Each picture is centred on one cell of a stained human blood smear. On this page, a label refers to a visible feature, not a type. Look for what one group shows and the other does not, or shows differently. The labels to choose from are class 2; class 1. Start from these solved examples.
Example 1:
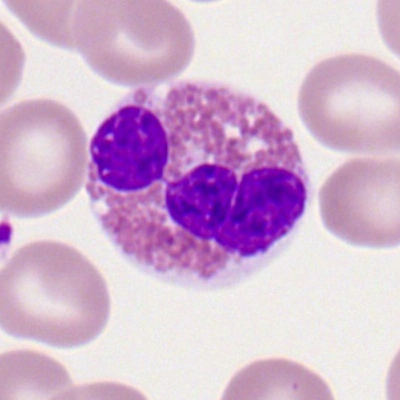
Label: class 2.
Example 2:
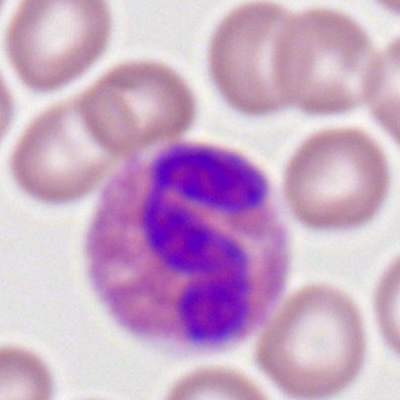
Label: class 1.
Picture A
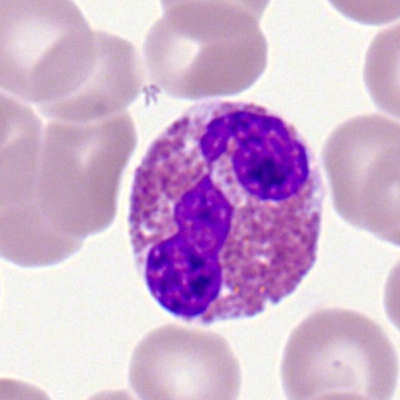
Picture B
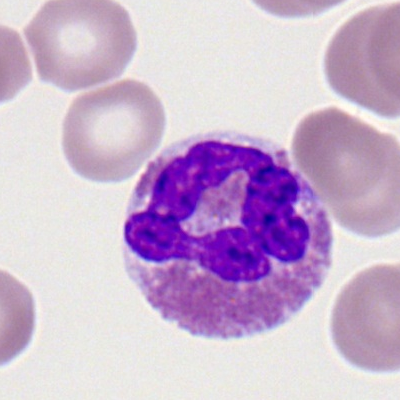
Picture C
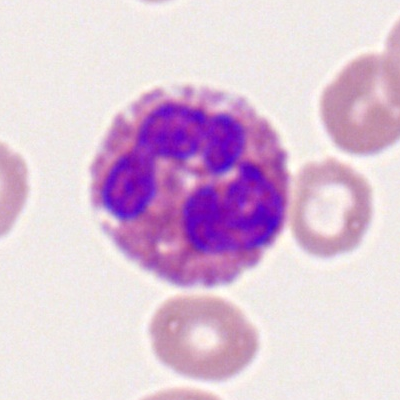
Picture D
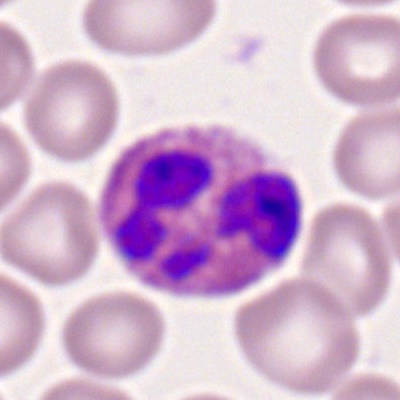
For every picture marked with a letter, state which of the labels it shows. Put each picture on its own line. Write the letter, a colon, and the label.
A: class 2.
B: class 1.
C: class 1.
D: class 1.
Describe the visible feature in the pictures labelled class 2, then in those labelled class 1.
class 2: coarse or large granules; class 1: fine or small granules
